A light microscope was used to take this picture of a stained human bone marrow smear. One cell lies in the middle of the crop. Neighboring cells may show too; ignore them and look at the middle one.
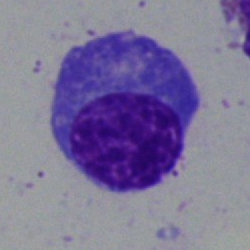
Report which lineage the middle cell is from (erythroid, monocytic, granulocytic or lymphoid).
lymphoid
